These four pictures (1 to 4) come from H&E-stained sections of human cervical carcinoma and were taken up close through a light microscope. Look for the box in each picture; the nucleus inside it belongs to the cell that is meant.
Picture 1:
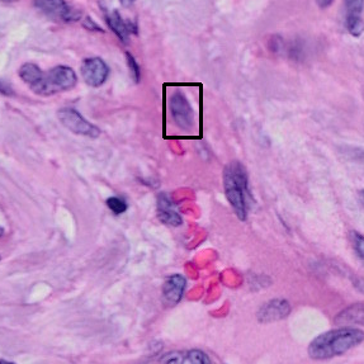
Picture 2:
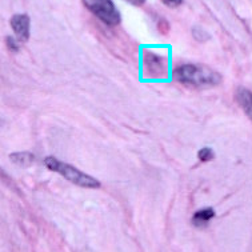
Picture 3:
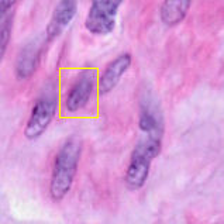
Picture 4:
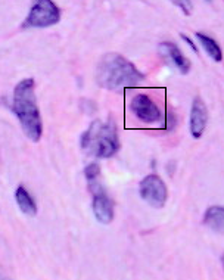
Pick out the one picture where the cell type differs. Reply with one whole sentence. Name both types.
The different one is picture 3; it shows a smooth muscle cell, whereas all the others show endothelial cells.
